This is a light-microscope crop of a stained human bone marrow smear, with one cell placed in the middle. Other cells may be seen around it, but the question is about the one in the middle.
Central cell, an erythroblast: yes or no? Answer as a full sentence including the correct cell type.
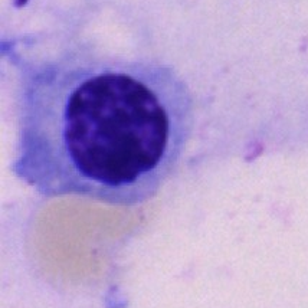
Yes, it is an erythroblast that lies in the middle.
